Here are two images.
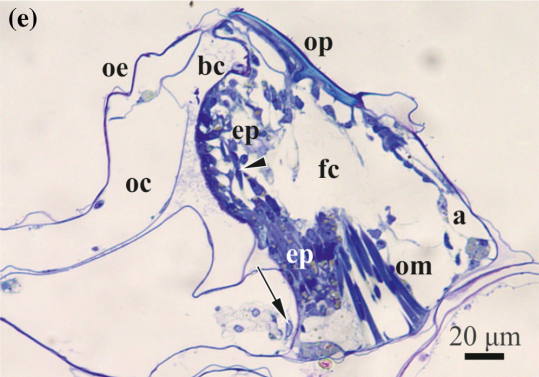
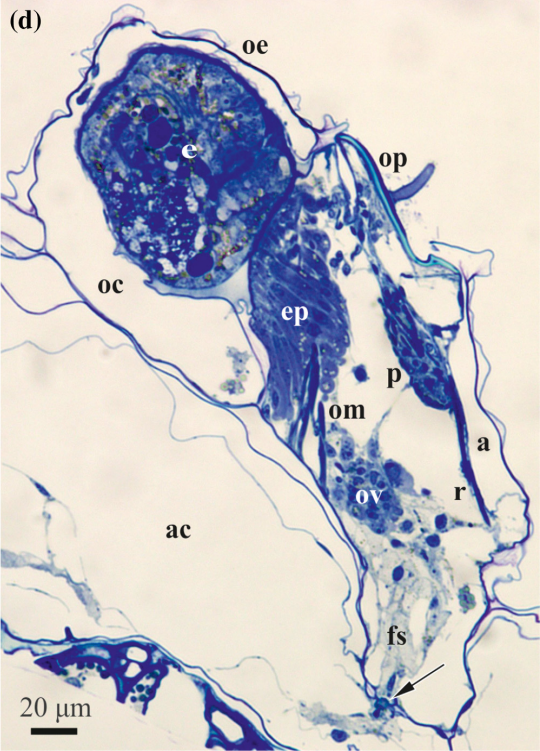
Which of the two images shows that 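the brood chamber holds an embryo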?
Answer: The second image.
